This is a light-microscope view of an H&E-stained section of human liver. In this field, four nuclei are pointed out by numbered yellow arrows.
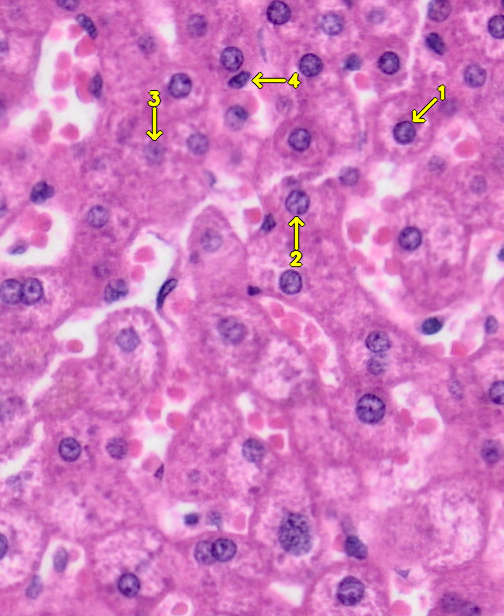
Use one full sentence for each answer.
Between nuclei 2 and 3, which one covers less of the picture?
The smaller nucleus is 3, and 2 covers roughly 1.5 times its area.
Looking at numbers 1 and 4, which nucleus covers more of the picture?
Nucleus 1 covers more area, about 1.5 times as much as nucleus 4.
